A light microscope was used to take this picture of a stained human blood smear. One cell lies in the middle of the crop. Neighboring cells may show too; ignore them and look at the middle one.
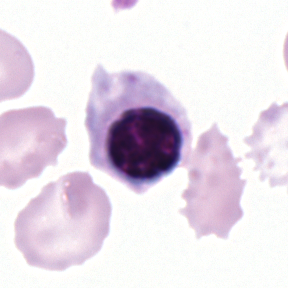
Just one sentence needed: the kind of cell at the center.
The cell at the centre of the field is a normoblast.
